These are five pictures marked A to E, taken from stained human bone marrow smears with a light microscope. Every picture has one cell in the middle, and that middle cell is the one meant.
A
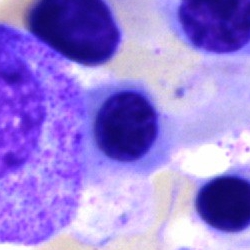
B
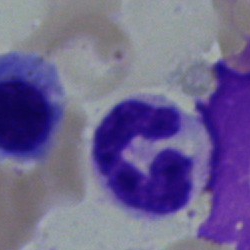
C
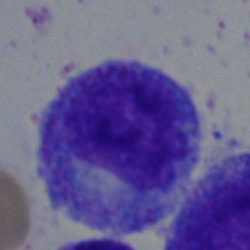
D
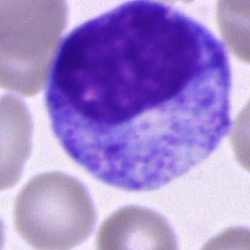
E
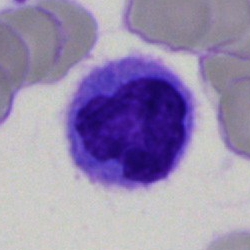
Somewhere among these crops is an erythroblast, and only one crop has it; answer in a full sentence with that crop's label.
It is crop A that shows an erythroblast.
